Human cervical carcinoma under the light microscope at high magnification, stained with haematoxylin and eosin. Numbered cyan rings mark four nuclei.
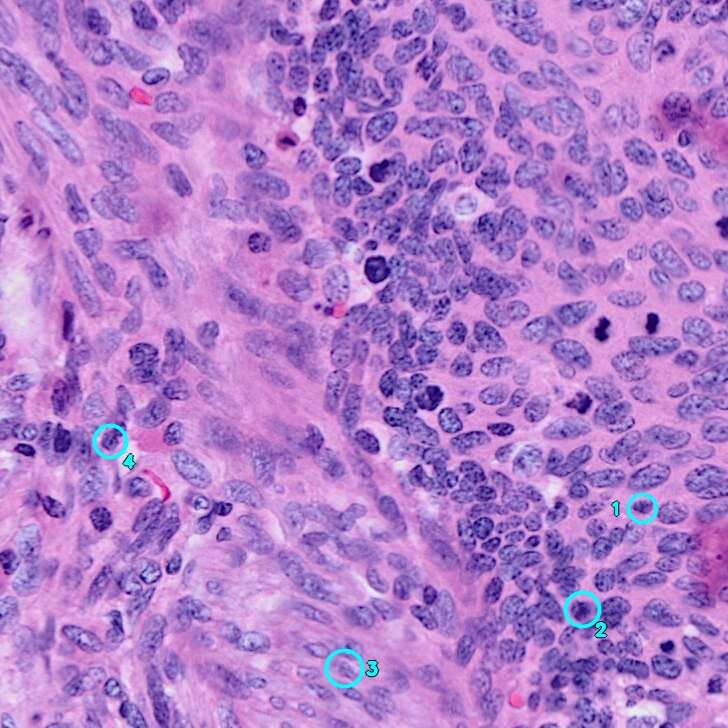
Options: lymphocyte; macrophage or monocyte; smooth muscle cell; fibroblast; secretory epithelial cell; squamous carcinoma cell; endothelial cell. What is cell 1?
squamous carcinoma cell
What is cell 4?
lymphocyte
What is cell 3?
smooth muscle cell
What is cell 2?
squamous carcinoma cell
